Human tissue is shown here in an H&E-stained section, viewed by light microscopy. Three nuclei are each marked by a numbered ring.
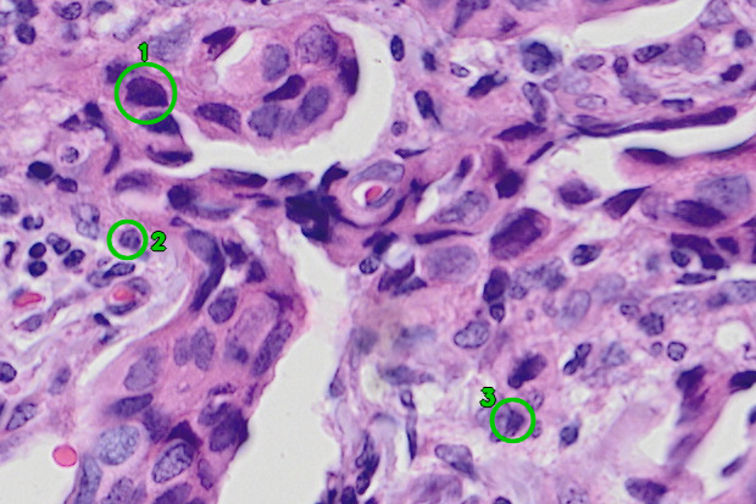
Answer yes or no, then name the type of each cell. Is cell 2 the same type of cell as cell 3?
Yes, cells 2 and 3 are both lymphocytes in this section.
